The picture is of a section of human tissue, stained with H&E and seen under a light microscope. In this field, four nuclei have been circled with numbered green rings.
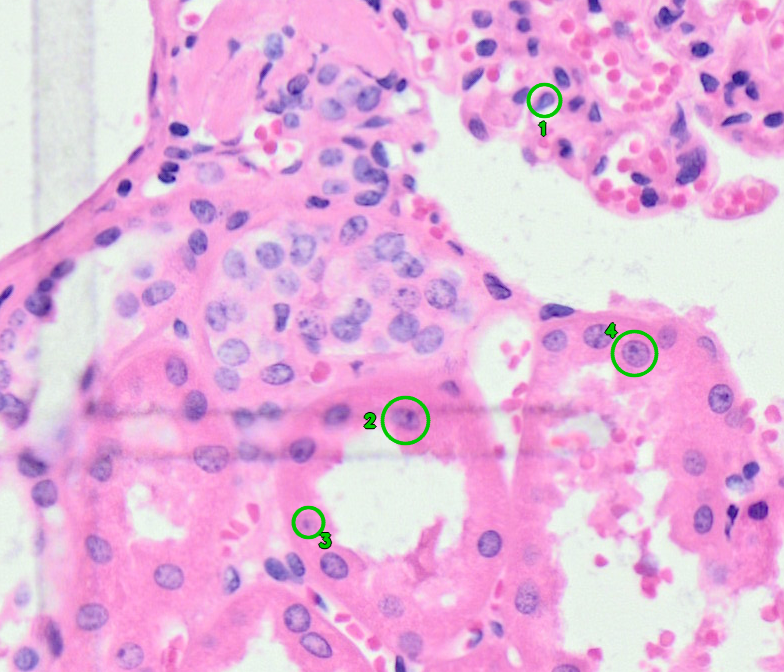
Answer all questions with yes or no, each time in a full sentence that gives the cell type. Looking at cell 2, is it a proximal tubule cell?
Yes, with respect to number 2, the cell is a proximal tubule cell.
